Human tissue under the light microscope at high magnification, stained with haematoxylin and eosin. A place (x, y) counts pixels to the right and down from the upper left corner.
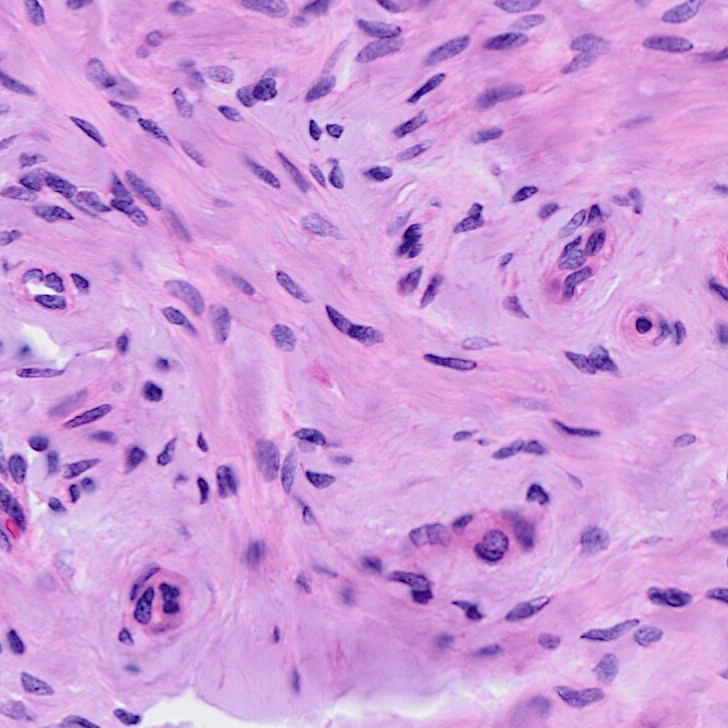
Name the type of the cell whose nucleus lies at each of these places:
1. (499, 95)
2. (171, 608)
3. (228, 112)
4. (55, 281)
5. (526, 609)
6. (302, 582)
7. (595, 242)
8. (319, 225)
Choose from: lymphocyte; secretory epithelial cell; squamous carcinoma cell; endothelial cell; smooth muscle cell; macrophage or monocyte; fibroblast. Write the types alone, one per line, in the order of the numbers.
fibroblast
endothelial cell
fibroblast
endothelial cell
fibroblast
smooth muscle cell
endothelial cell
smooth muscle cell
